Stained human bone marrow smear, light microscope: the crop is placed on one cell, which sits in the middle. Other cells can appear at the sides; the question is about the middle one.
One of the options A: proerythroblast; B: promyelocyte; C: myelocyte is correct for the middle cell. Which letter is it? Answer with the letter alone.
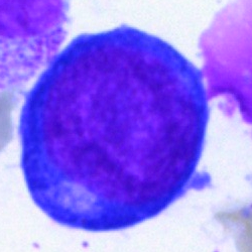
A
